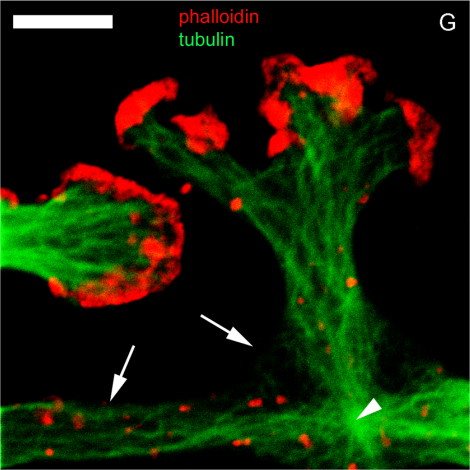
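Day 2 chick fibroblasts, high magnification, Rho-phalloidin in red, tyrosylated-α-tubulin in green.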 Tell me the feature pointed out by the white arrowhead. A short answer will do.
Microtubule-organizing center.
